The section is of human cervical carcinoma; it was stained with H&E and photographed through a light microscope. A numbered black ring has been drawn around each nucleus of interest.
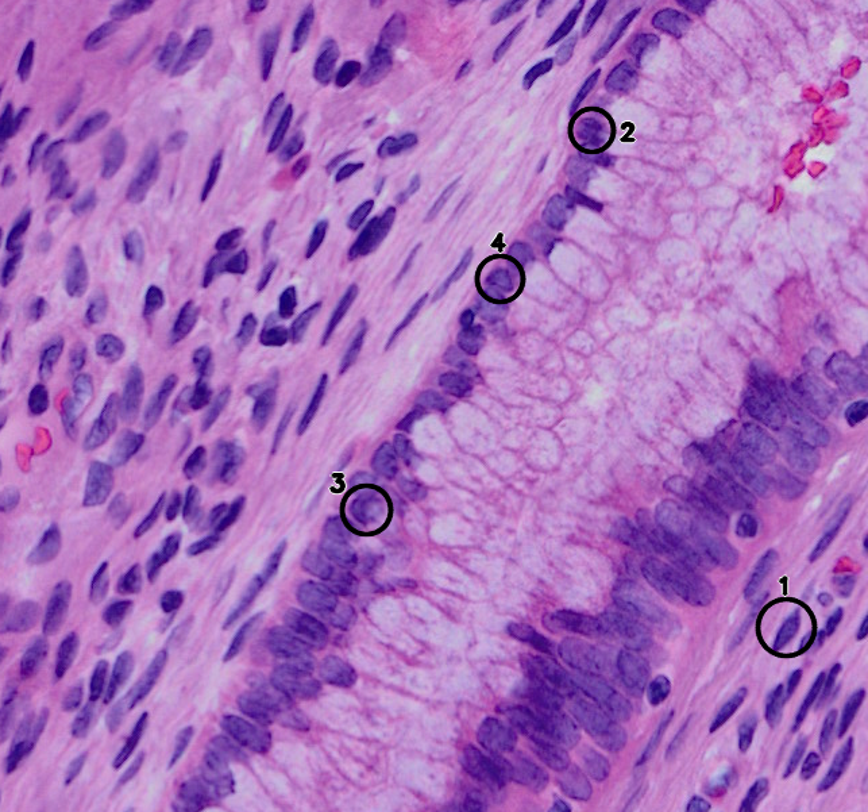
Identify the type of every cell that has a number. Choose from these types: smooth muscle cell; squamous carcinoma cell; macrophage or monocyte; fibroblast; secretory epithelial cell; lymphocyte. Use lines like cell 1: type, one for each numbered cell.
cell 1: fibroblast
cell 2: secretory epithelial cell
cell 3: secretory epithelial cell
cell 4: secretory epithelial cell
